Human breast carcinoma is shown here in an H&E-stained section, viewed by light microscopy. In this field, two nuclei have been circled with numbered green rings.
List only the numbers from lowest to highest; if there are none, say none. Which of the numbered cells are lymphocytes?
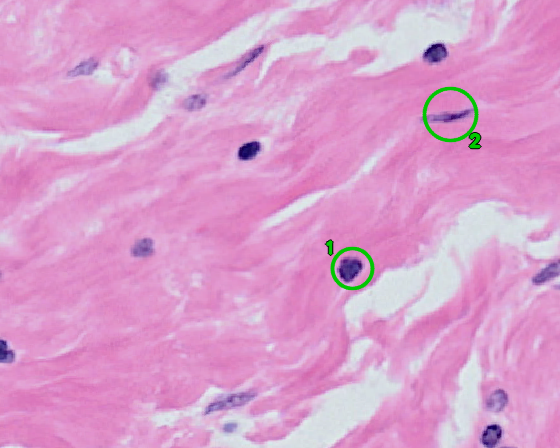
1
